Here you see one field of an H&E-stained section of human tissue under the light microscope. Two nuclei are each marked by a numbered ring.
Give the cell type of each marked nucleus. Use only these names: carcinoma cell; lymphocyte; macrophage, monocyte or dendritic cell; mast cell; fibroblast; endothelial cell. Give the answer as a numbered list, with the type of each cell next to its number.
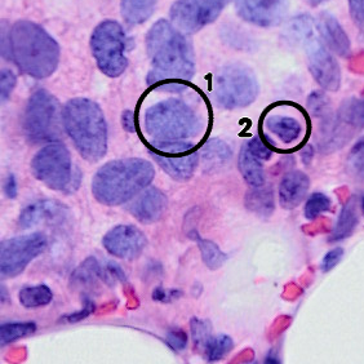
1. carcinoma cell
2. lymphocyte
